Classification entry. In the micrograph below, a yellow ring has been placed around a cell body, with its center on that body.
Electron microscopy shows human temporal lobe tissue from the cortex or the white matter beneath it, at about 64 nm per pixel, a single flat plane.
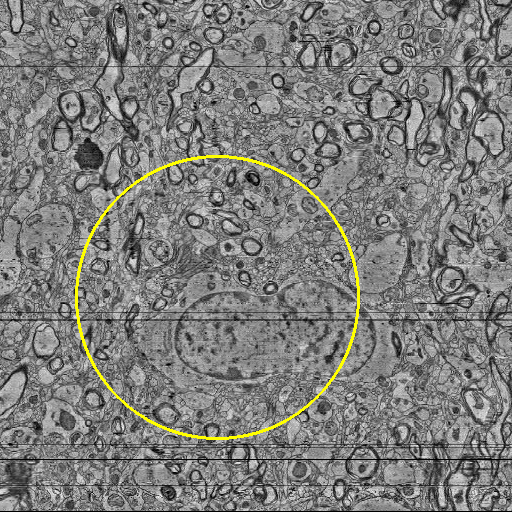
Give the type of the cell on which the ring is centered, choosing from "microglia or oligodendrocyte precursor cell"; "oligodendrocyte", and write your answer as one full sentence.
The cell body at the center of the yellow ring belongs to a microglial cell or oligodendrocyte precursor cell.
